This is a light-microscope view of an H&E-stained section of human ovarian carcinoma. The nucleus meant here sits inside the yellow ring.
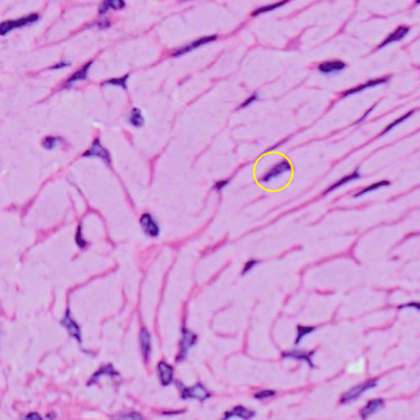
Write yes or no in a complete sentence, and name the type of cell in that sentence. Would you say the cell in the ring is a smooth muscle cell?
No, rather than being a smooth muscle cell, the cell in the ring is a fibroblast.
